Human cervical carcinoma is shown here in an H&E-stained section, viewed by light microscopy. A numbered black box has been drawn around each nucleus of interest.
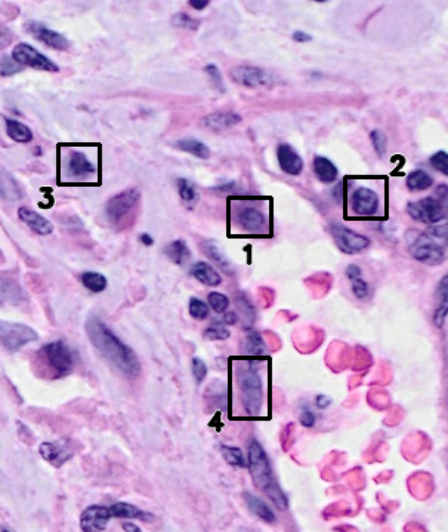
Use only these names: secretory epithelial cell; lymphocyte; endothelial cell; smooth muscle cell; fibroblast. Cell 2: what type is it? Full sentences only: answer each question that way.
Cell 2 is classified as a lymphocyte.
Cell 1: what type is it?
Cell 1 is classified as an endothelial cell.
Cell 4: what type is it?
Among the marked nuclei, number 4 belongs to an endothelial cell.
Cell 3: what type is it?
The cell marked with the number 3 is a lymphocyte.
